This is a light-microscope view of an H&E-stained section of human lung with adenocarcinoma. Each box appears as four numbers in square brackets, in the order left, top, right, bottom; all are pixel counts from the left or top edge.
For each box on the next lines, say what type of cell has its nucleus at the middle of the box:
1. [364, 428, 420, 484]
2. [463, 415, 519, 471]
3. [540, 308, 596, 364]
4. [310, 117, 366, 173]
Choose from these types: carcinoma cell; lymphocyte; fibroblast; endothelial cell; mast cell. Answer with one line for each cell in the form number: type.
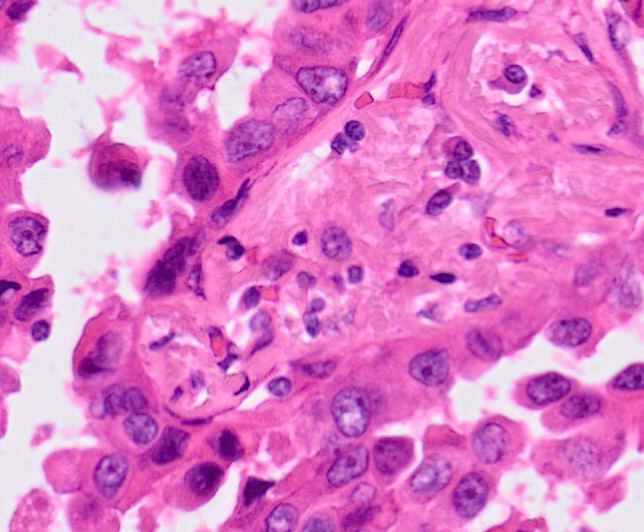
1: carcinoma cell
2: carcinoma cell
3: carcinoma cell
4: lymphocyte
